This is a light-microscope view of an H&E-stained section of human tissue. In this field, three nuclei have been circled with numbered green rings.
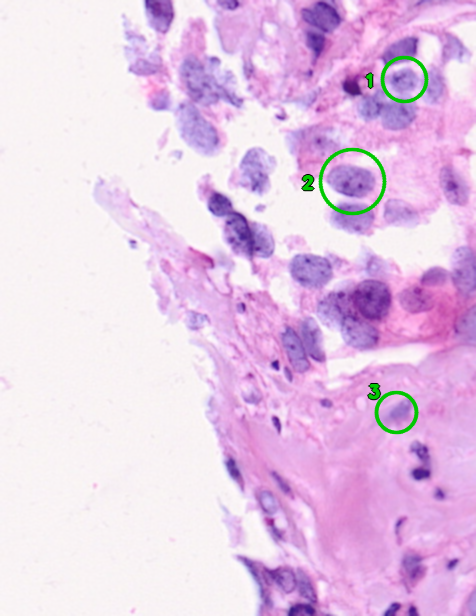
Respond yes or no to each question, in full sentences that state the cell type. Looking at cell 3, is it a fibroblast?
Yes, that is correct: the cell numbered 3 is a fibroblast.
